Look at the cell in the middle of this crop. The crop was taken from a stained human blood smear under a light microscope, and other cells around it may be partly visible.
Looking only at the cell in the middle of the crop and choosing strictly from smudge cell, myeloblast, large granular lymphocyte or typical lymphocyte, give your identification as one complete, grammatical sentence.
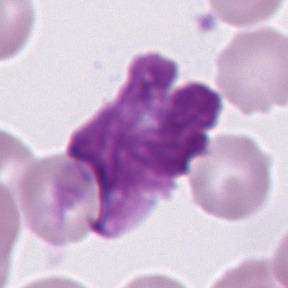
The cell centered in this field of view is a smudge cell.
